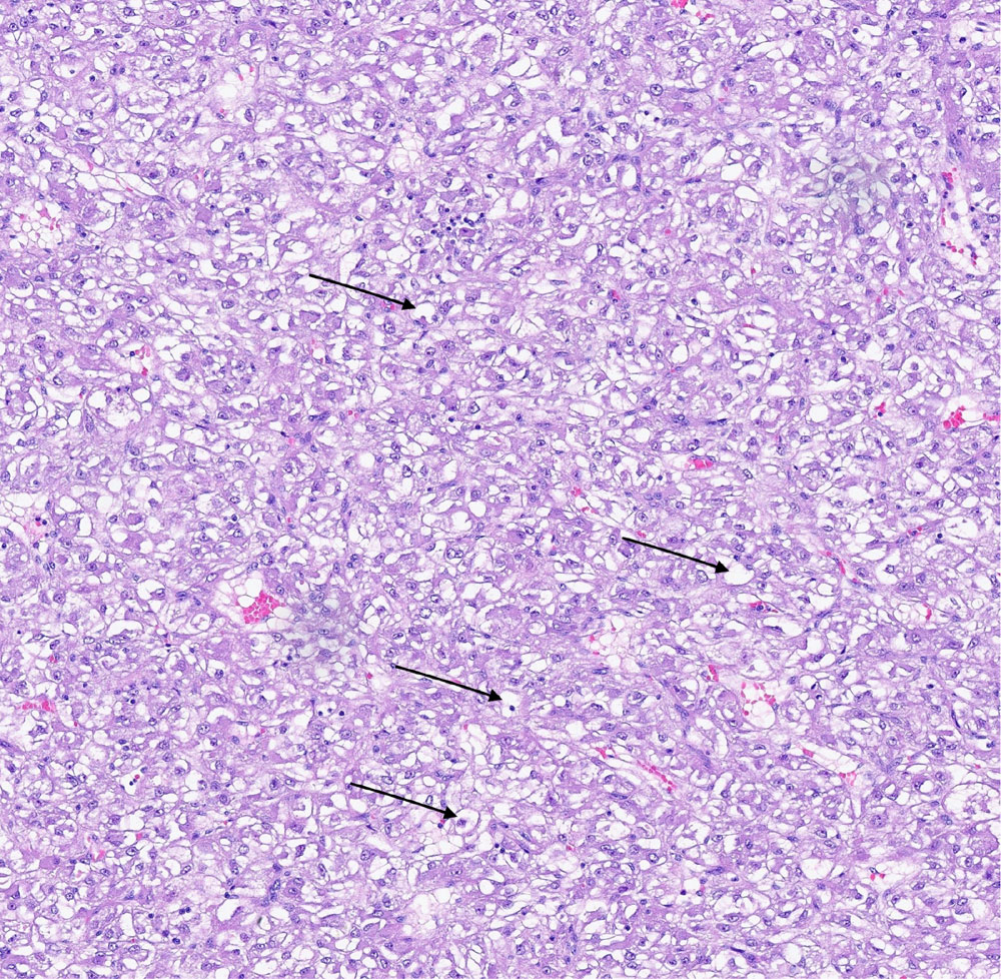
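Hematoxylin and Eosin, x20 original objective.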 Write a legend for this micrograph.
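A dense, fairly uniform sheet of large polygonal epithelioid cells fills the whole field, their cytoplasm pale pink-lilac and broken up by many clear, empty-looking vacuoles. The nuclei are purple, round to oval, and visibly vary in size from cell to cell. Small thin-walled vessels containing bright red blood cells are scattered between the cells. Together this reads as a moderately dense proliferation of large epithelioid cells with vacuolated, clear cytoplasm.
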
